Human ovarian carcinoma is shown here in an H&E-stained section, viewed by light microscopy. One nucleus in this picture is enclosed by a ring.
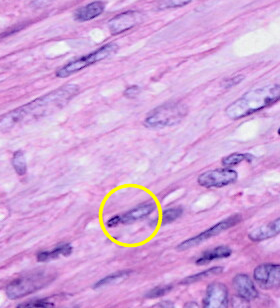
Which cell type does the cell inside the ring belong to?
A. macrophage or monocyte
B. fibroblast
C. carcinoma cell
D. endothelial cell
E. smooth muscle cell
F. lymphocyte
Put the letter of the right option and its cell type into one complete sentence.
Option B names the cell inside the ring correctly as a fibroblast.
